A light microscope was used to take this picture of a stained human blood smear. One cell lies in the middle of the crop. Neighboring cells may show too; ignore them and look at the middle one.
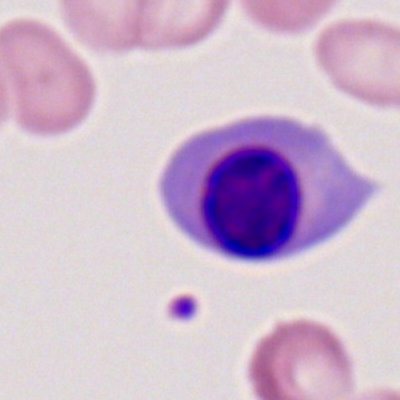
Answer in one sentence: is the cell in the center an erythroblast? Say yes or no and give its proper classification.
Yes, the middle cell in this crop is an erythroblast.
